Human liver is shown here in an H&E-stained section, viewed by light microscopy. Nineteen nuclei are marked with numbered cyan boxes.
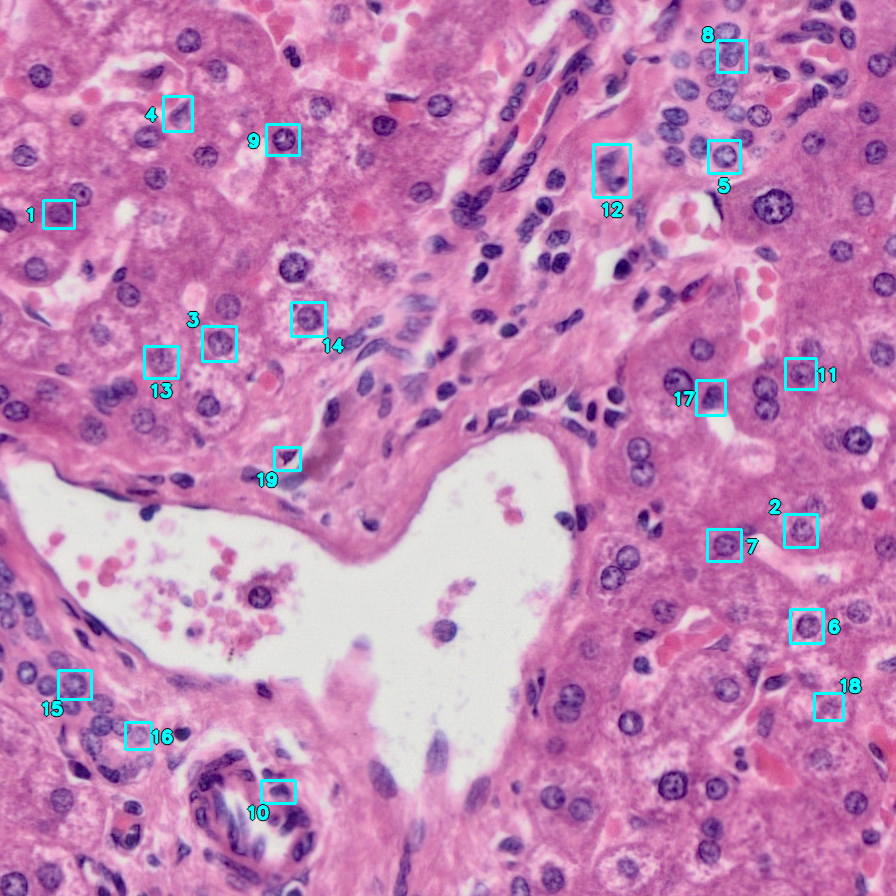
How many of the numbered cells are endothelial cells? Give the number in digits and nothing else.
1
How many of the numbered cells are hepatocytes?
10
